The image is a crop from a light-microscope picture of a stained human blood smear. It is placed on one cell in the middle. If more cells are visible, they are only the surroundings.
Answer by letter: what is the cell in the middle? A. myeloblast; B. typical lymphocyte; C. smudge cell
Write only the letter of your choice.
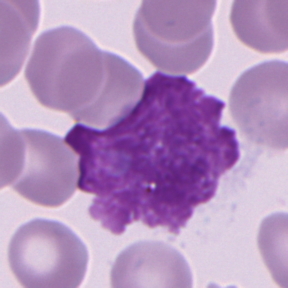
C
